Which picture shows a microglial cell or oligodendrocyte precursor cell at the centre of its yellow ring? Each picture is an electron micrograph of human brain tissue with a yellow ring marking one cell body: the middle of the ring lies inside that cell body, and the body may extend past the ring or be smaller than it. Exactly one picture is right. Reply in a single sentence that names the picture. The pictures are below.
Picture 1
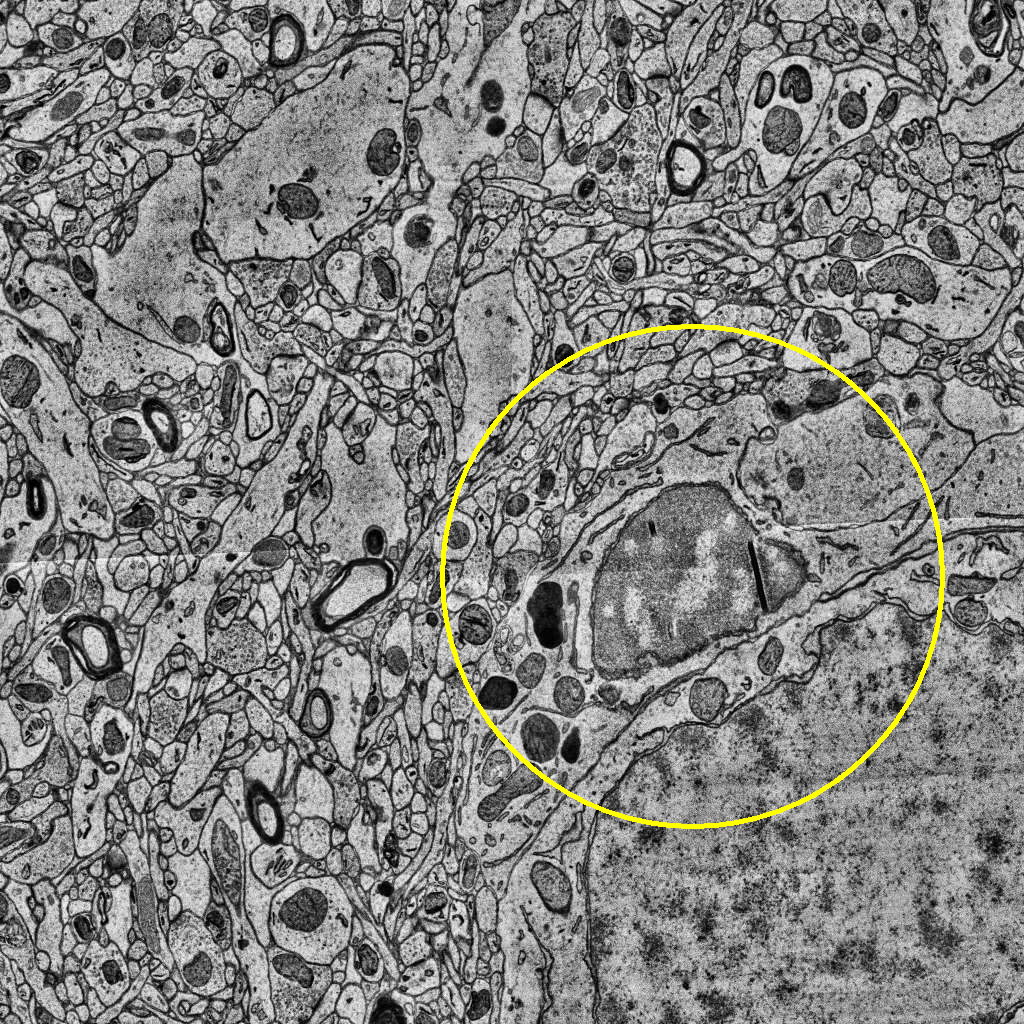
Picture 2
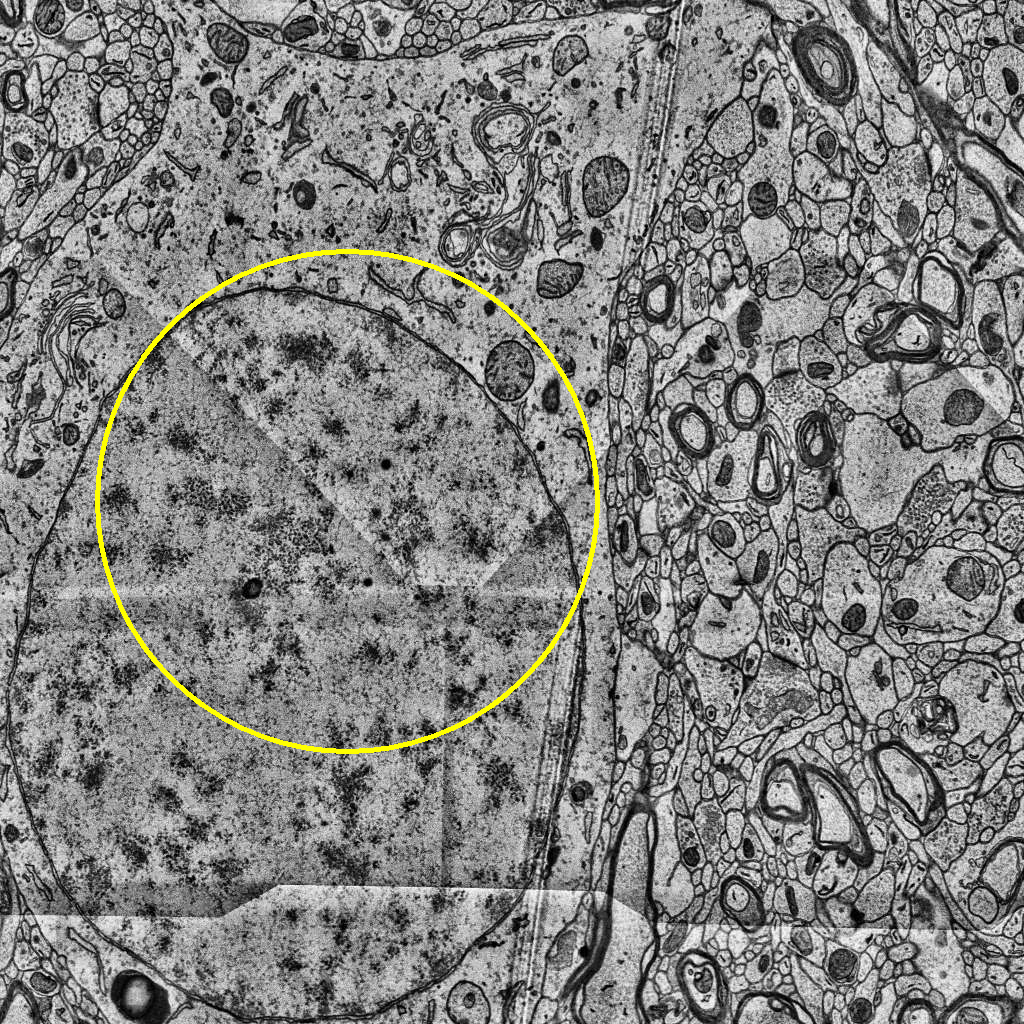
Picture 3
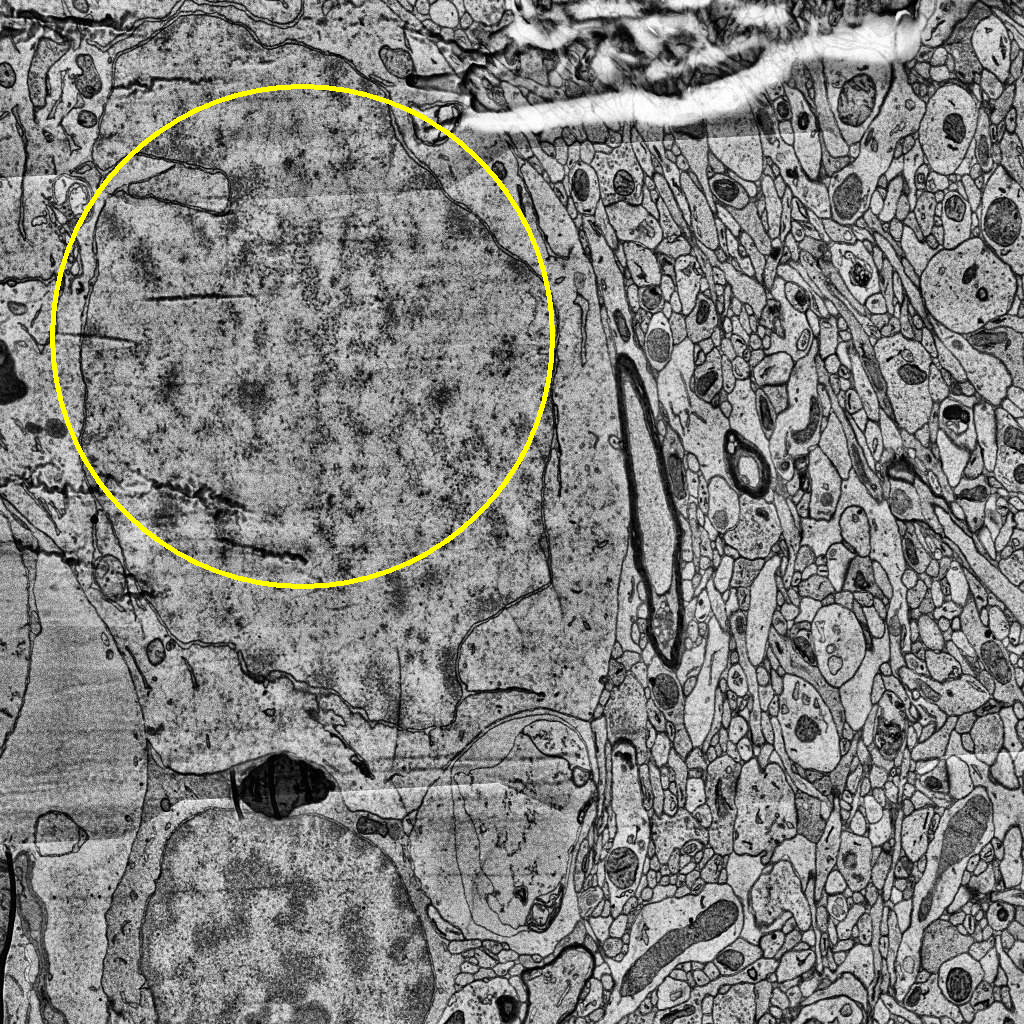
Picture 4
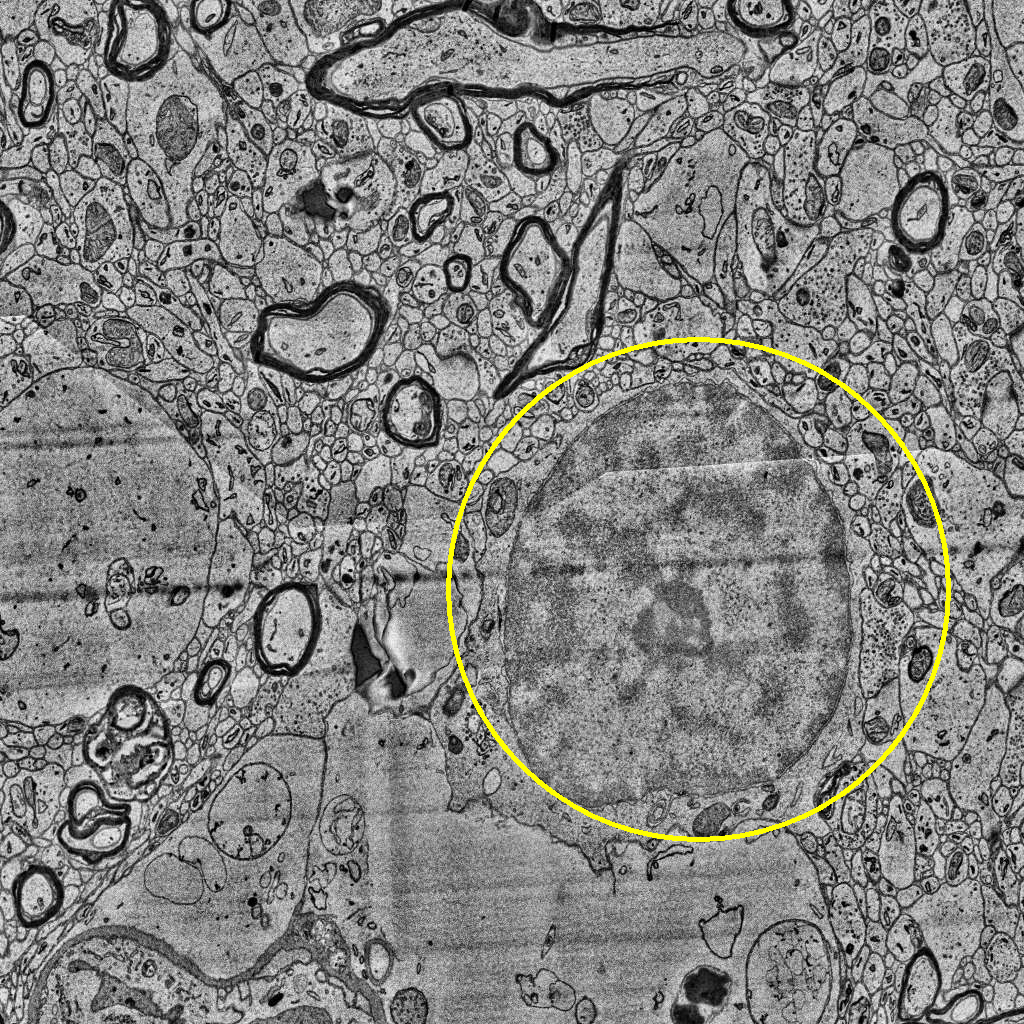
Picture 1 shows it.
